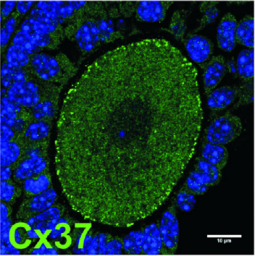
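Large oval ovum surrounded by granulosa cells. The ovum cytoplasm is filled with fine green granular texture, with brighter green dots lying along its periphery. A darker zone sits near the centre of the ovum. A dark band separates the ovum from the surrounding cells. Granulosa cells lie in a ring around it, with round to oval blue nuclei of similar size, closely apposed to the outer edge of the dark band.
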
